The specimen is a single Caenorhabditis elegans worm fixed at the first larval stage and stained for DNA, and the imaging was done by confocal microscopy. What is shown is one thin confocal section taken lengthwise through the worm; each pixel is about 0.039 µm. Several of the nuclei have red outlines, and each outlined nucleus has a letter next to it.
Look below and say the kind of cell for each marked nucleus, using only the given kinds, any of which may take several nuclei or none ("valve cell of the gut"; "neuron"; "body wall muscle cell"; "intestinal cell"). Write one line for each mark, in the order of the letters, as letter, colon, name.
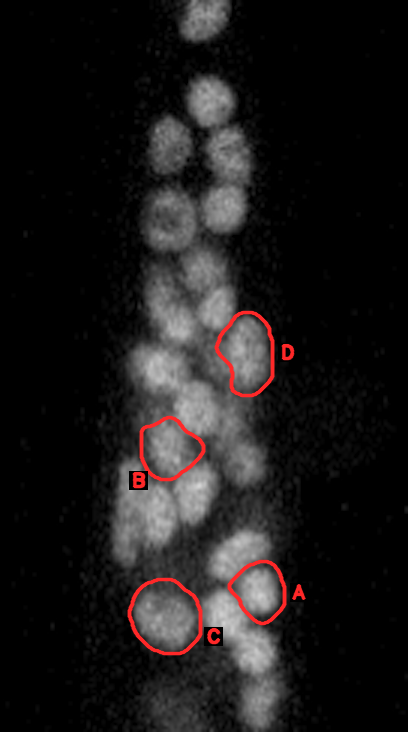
A: neuron
B: neuron
C: valve cell of the gut
D: body wall muscle cell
